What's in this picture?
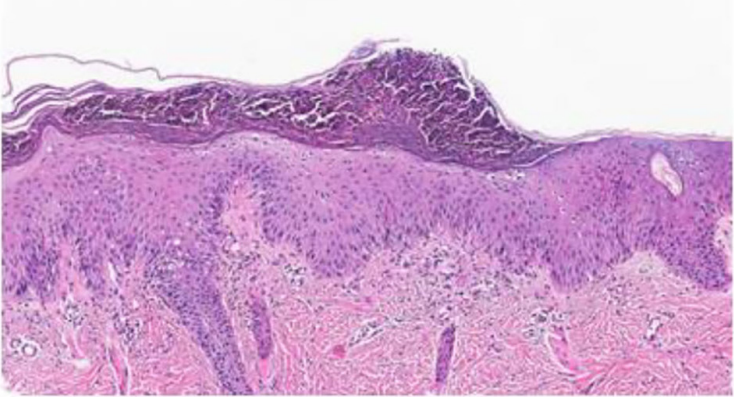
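Skin section with a thickened epidermis, in which rete ridges extend down as elongated projections into the pink collagenous dermis. The keratinocytes of the spinous layer are closely packed, with pink cytoplasm and small purple nuclei. A distinct granular layer is not evident beneath the cornified layer. A thick, dark purple cornified layer overlies the epidermis and is filled with dense nuclear debris consistent with collections of neutrophils. The superficial dermis holds scattered small cells and vessels.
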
